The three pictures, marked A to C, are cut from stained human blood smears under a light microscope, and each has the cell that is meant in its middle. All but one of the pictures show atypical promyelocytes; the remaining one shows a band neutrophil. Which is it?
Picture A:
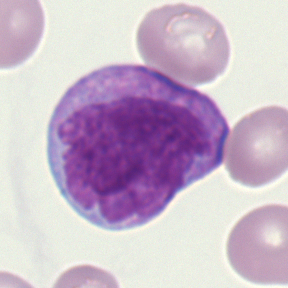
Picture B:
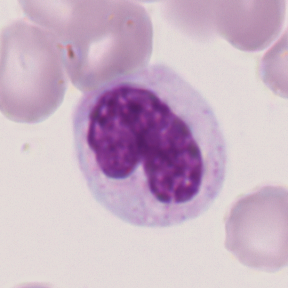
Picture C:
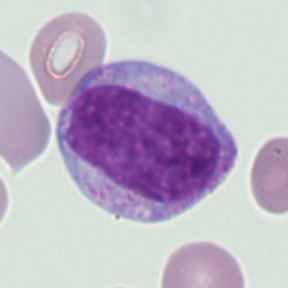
B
